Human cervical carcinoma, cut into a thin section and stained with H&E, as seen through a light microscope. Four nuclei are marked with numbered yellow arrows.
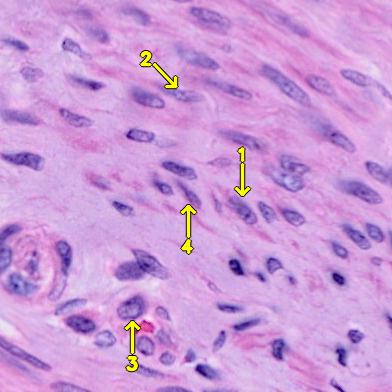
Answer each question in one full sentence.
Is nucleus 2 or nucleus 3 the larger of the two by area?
Nucleus 3 covers more area, about 1.5 times as much as nucleus 2.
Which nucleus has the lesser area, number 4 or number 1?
Nucleus 4 covers less area, with nucleus 1 about 2 times as large.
